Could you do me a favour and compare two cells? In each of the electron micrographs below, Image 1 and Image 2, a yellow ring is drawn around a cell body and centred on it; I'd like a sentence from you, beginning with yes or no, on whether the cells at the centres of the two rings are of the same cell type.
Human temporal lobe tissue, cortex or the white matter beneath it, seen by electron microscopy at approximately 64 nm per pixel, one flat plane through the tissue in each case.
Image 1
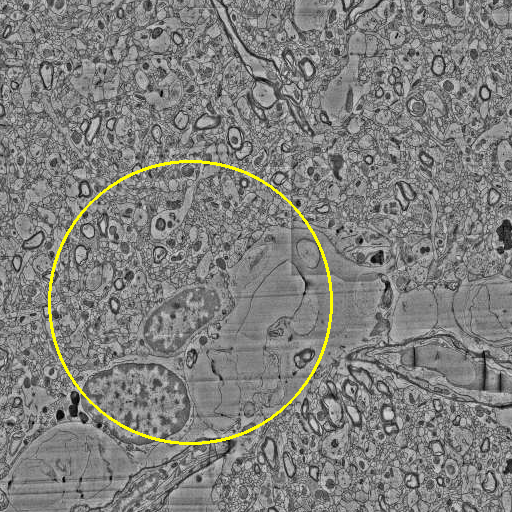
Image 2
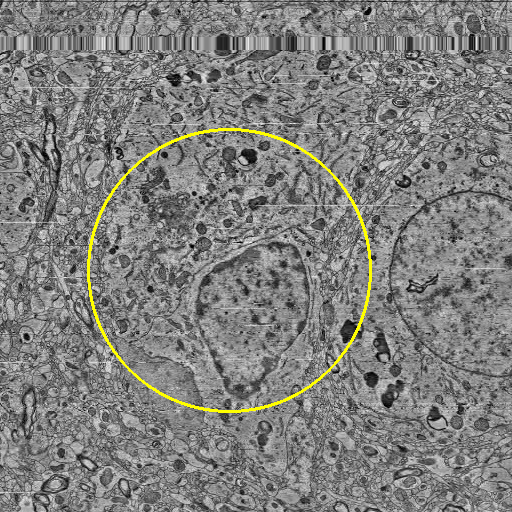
No, the two cells are of two cell types.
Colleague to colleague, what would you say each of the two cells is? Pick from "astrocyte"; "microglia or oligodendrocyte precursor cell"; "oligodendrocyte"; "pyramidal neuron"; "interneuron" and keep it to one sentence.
The cell in the first picture is an oligodendrocyte; the second picture's cell is a microglial cell or oligodendrocyte precursor cell.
